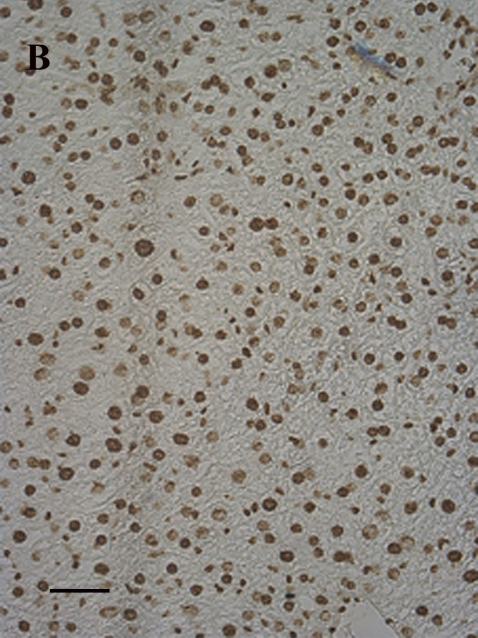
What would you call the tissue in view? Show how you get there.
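Large round central nuclei spaced evenly through a solid sheet of cells. Smaller elongated nuclei scattered between the large ones. No layers or glands, a uniform parenchyma. The answer: liver.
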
